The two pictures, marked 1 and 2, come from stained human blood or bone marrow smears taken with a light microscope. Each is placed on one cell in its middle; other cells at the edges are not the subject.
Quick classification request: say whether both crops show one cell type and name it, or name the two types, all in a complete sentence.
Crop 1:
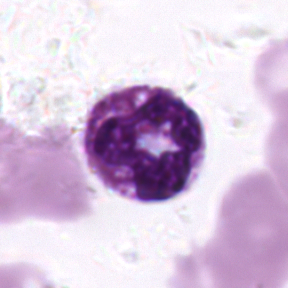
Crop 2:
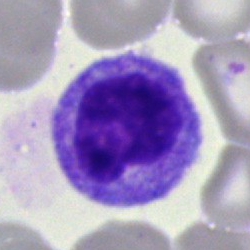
No, crop 1 is to be identified as an eosinophil and crop 2 as a metamyelocyte.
